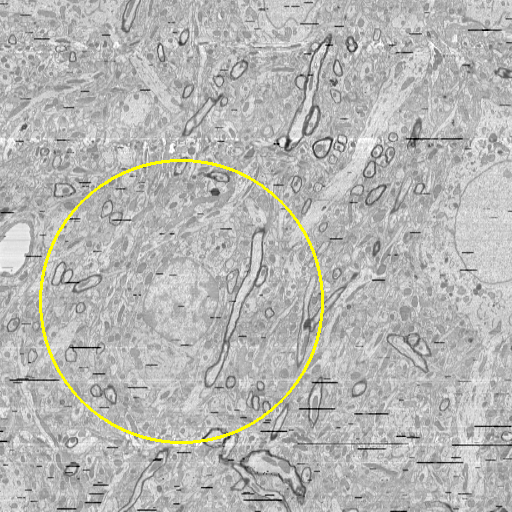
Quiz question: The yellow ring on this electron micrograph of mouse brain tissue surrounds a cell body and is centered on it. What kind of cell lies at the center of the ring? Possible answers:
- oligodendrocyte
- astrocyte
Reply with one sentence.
The ring's center lies on an oligodendrocyte.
